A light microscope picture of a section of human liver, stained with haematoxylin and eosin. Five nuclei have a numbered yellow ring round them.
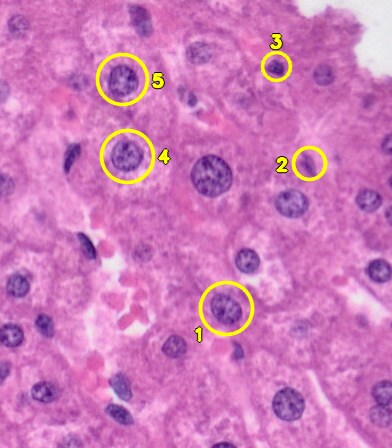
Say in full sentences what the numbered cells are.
Cells 1, 4 and 5 are hepatocytes. Cell 2 is an endothelial cell. Cell 3 is a fibroblast or stellate cell.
